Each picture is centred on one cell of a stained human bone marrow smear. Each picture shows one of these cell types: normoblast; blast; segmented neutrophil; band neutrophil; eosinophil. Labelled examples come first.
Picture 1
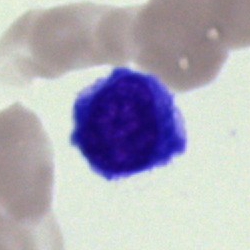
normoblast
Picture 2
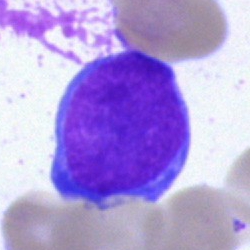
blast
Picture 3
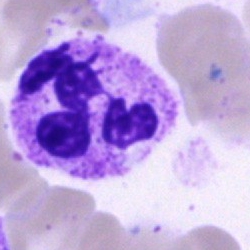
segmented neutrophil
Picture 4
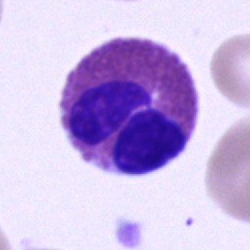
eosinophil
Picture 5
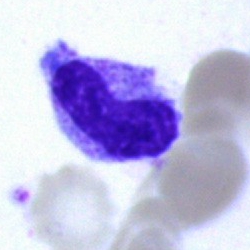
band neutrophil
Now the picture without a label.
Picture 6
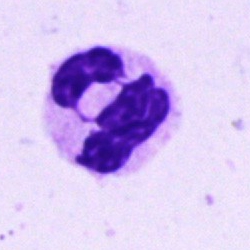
segmented neutrophil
